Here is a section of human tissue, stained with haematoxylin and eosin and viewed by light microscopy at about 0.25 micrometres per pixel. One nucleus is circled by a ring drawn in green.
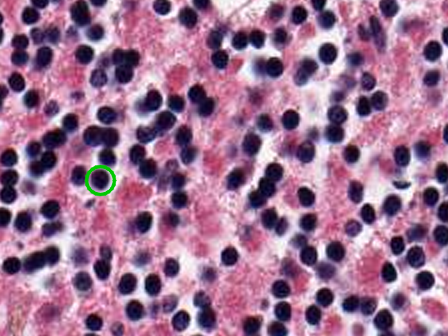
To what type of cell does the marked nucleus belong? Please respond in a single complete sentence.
The nucleus that has been marked belongs to a cerebellar granule cell.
